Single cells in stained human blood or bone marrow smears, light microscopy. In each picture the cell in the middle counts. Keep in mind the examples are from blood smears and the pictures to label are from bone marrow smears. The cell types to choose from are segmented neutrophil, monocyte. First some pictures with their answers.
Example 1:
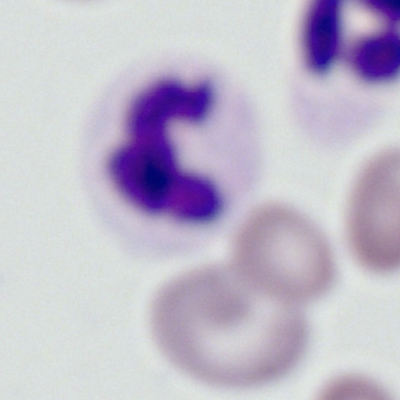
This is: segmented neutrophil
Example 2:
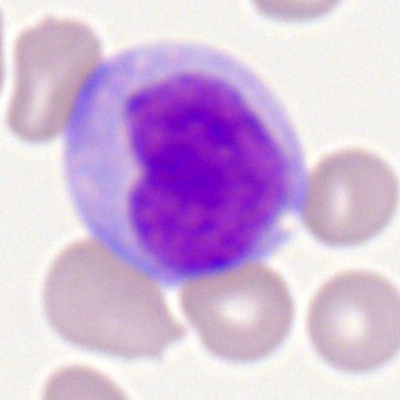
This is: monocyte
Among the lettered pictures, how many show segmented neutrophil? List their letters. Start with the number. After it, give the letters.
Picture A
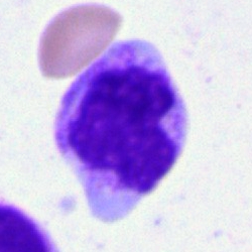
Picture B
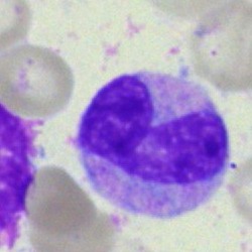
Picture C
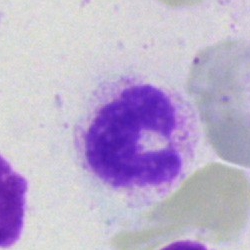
1: C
